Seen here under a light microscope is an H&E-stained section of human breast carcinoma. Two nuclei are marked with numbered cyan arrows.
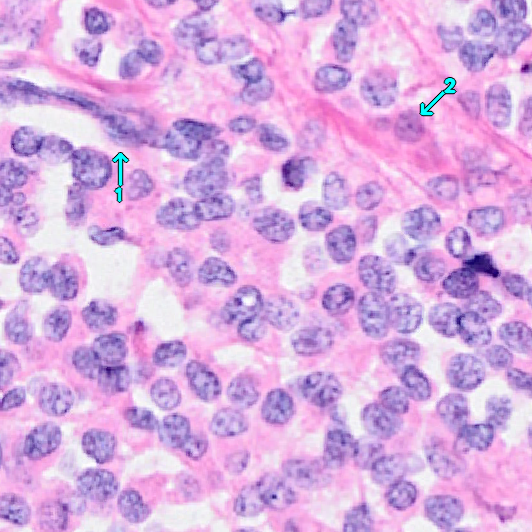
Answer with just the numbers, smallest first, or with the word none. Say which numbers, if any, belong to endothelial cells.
1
